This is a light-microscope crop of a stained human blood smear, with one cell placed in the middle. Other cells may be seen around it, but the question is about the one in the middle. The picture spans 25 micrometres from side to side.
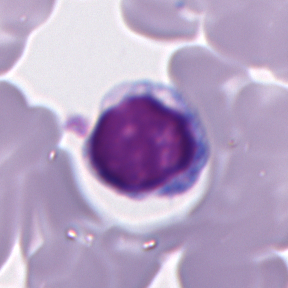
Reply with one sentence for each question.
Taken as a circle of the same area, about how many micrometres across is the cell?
It measures about 10 micrometres across.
